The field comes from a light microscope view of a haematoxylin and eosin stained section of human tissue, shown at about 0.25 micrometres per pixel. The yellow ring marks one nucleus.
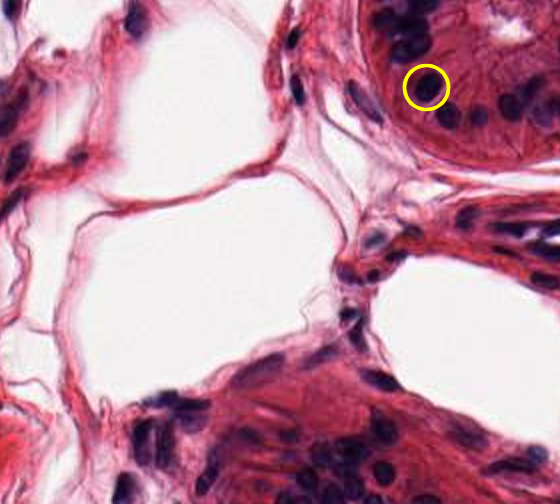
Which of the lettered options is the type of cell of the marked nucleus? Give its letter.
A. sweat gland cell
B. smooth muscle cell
A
